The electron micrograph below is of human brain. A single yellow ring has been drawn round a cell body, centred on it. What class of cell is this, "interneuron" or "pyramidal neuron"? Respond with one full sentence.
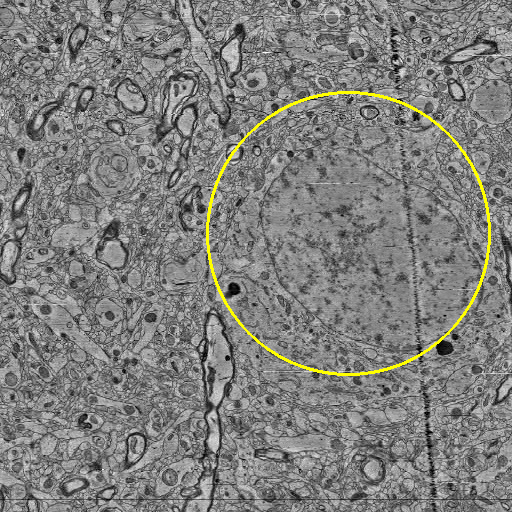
In the micrograph, the cell centred inside the yellow ring is an interneuron.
